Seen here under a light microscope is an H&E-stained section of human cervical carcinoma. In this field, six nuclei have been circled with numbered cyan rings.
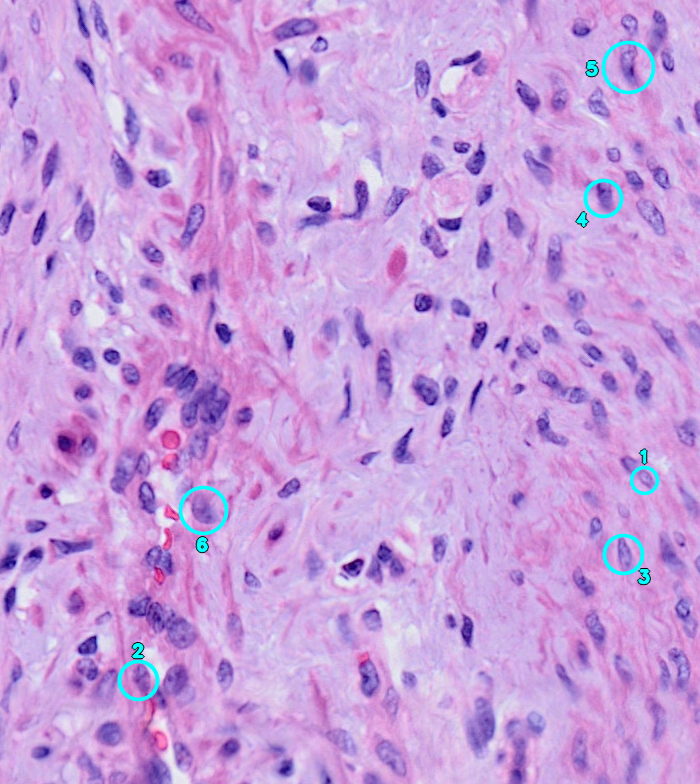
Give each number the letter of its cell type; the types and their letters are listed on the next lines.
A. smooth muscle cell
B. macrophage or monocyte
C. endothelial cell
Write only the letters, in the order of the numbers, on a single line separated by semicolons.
A; C; A; A; A; C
